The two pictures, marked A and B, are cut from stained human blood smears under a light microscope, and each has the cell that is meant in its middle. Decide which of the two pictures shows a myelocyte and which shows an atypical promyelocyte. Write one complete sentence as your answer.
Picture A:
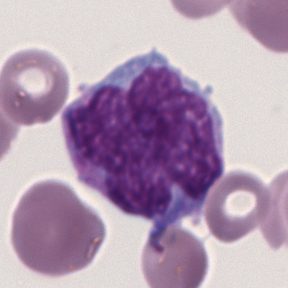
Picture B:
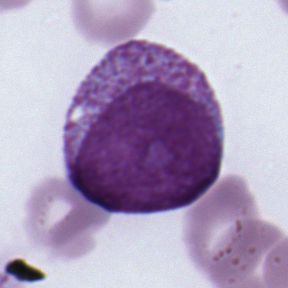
Picture B shows a myelocyte, while picture A shows an atypical promyelocyte.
